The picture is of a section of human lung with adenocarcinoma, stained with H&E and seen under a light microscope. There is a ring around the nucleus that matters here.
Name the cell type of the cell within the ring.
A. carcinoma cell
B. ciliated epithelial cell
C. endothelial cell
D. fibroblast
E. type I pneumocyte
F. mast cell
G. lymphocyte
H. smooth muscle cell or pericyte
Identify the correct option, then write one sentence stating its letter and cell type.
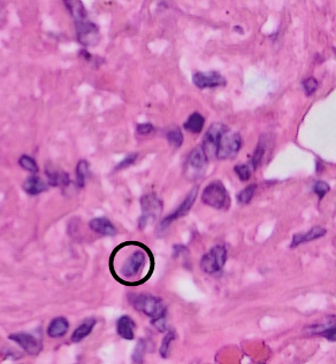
Option F is correct in that the cell within the ring is a mast cell.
